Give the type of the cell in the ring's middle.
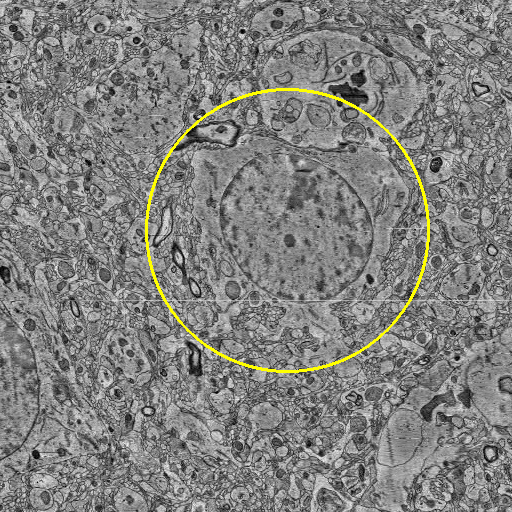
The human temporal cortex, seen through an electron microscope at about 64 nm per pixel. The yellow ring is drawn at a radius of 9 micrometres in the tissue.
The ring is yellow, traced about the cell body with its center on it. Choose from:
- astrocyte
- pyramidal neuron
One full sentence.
Here, an astrocyte is the cell lying at the center of the yellow ring.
